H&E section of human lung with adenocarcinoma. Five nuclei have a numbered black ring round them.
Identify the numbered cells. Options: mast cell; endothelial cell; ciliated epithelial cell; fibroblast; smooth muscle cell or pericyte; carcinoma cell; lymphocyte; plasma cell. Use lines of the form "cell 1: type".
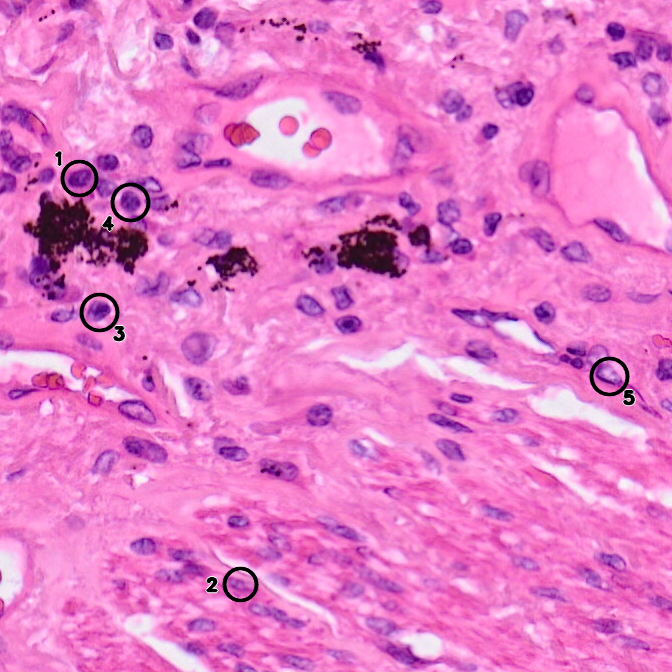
cell 1: plasma cell
cell 2: smooth muscle cell or pericyte
cell 3: lymphocyte
cell 4: lymphocyte
cell 5: endothelial cell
